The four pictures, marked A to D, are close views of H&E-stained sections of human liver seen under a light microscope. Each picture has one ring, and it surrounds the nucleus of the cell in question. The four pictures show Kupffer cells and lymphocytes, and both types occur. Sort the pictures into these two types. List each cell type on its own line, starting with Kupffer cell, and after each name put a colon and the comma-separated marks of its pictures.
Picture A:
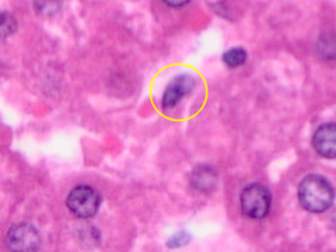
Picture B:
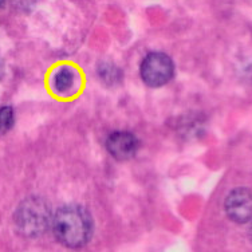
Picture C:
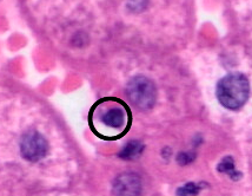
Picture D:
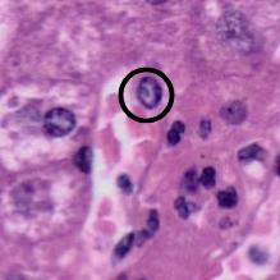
Kupffer cell: A, D
lymphocyte: B, C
